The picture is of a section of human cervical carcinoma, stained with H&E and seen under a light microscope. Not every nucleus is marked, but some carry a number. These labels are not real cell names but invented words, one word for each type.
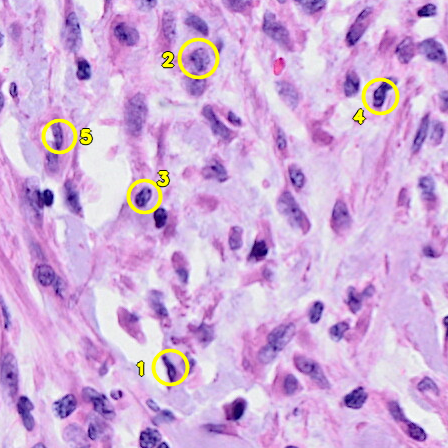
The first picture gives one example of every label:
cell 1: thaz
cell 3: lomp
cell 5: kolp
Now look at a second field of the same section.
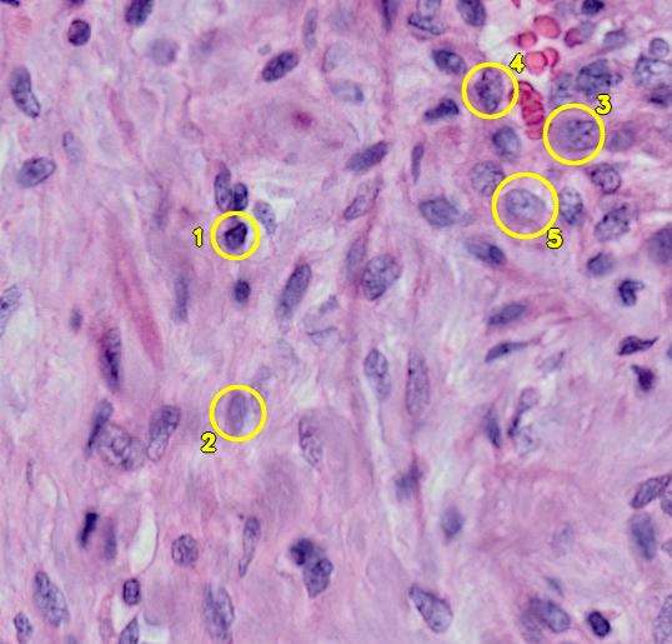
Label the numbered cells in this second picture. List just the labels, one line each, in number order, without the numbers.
lomp
thaz
kolp
kolp
kolp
